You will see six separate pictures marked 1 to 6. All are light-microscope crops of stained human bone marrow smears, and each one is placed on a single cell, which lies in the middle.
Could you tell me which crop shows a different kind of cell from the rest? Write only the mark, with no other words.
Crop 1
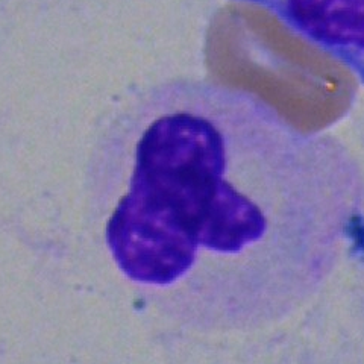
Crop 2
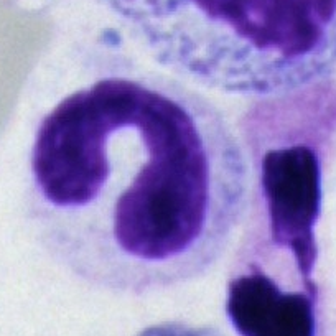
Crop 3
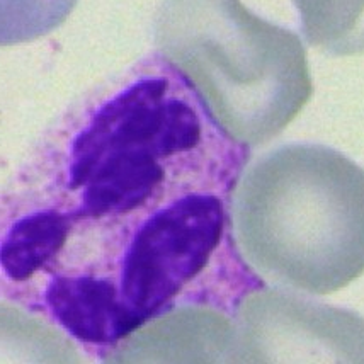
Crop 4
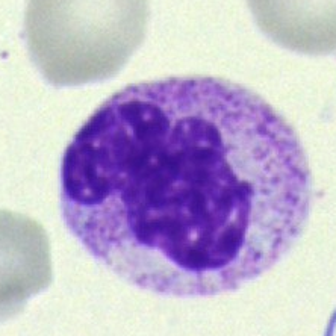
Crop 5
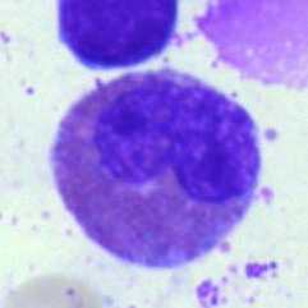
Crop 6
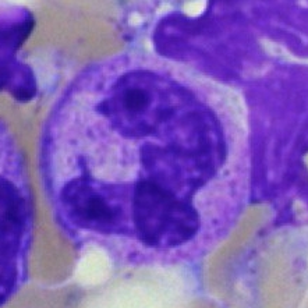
5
